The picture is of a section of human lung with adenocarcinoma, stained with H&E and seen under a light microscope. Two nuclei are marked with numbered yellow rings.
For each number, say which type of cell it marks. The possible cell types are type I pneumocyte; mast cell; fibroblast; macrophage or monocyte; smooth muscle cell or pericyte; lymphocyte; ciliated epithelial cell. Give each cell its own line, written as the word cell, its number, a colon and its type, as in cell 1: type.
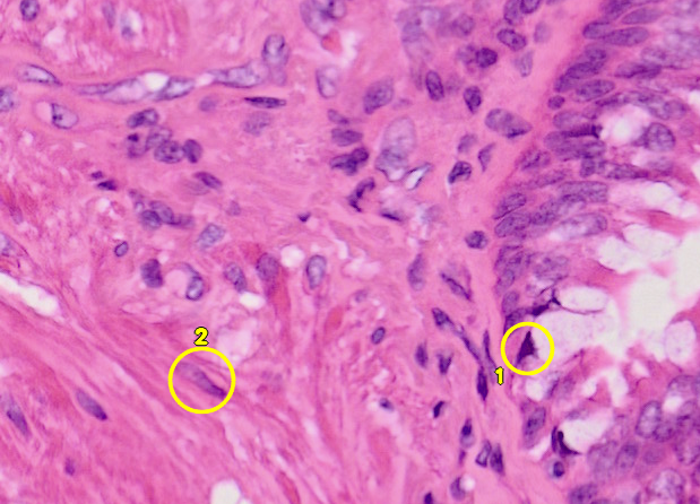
cell 1: ciliated epithelial cell
cell 2: smooth muscle cell or pericyte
